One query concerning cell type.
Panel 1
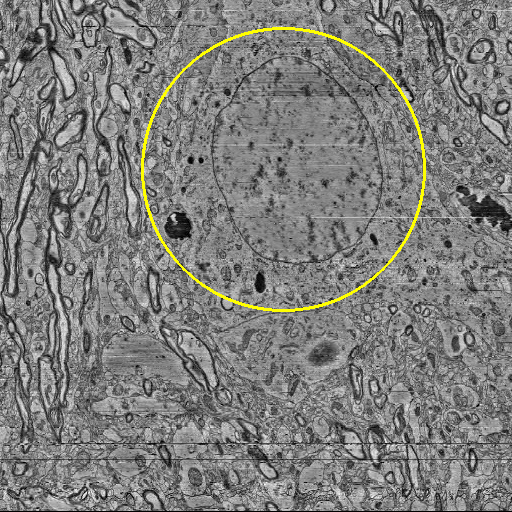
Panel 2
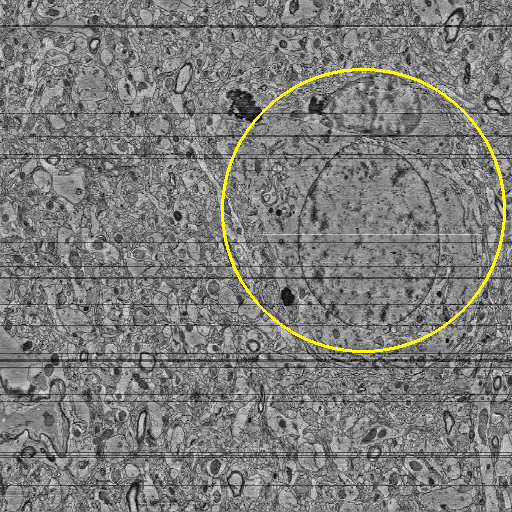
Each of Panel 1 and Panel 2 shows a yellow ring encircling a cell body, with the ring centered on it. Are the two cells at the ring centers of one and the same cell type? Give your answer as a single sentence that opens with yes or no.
Yes, the cell centered in Panel 1 and the one in Panel 2 share a type.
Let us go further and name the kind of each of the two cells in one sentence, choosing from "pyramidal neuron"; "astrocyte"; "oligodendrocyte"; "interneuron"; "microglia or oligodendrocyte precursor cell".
Each cell at the centre of a ring is a pyramidal neuron.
